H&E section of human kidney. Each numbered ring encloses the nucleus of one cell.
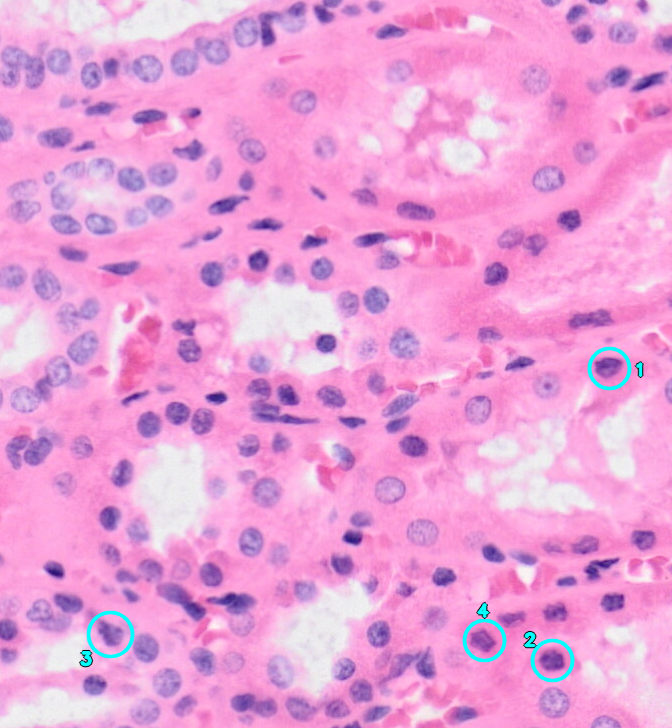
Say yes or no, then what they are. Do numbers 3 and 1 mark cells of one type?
No, while cell 3 is a collecting duct cell, cell 1 is a proximal tubule cell.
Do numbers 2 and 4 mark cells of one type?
Yes, cells 2 and 4 are two proximal tubule cells.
